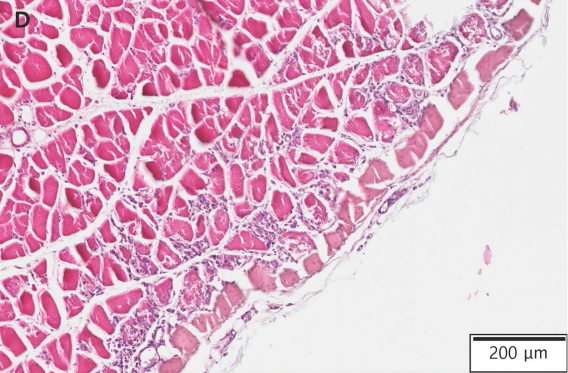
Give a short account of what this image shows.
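This is skeletal muscle cut across, showing an area of muscle inflammation. The muscle fibers are polygonal, pink and grouped in fascicles separated by thin pale septa. Between the fibers, especially in the lower part of the field near the section edge, lie numerous small cells with dark purple nuclei. Fibers along the outer edge appear pale pinkish-grey and some look fragmented or lose their crisp outline. A thin layer of loose fibrous tissue borders the muscle at the edge.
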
